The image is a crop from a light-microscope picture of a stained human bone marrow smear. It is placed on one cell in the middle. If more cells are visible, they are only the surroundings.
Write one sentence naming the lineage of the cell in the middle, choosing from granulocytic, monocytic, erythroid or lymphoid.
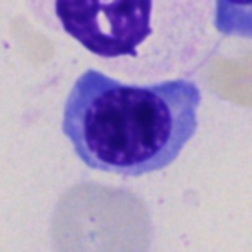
The centered cell should be recorded as belonging to the erythroid lineage.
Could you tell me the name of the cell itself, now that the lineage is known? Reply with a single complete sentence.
The cell at the heart of this crop is an erythroblast.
